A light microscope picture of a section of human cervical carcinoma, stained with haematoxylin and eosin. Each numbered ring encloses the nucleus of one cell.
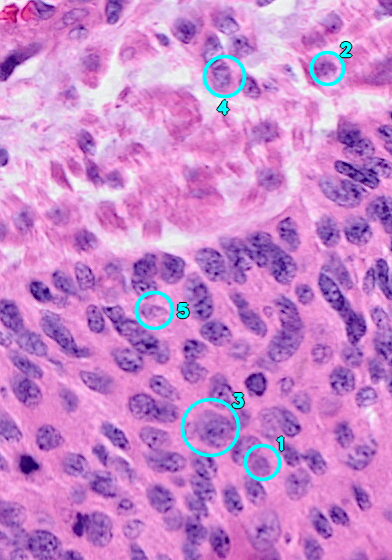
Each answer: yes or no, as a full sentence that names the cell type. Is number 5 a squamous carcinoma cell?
Yes, the cell that number 5 points to is a squamous carcinoma cell.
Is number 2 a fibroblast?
Yes, among the marked cells, the one with number 2 is a fibroblast.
